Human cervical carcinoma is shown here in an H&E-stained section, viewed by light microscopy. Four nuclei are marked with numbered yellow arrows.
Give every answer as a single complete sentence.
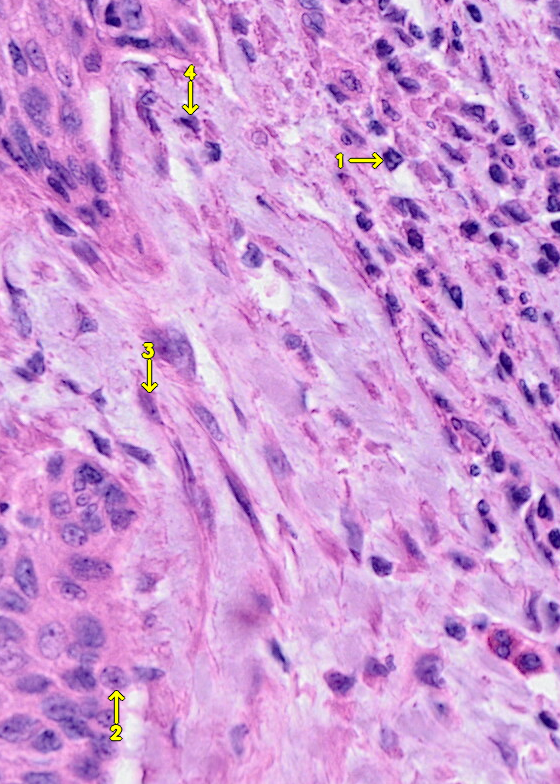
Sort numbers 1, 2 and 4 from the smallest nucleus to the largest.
From smallest to largest, the order is 4, 1, 2.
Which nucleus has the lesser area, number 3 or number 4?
The smaller nucleus is 4, and 3 covers roughly 2 times its area.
